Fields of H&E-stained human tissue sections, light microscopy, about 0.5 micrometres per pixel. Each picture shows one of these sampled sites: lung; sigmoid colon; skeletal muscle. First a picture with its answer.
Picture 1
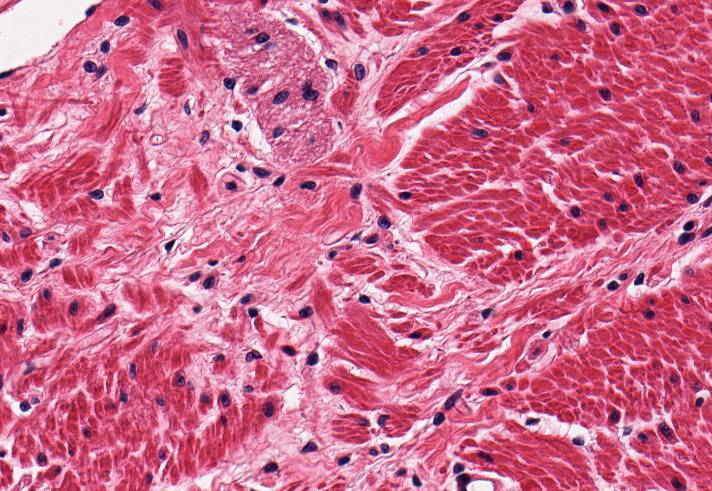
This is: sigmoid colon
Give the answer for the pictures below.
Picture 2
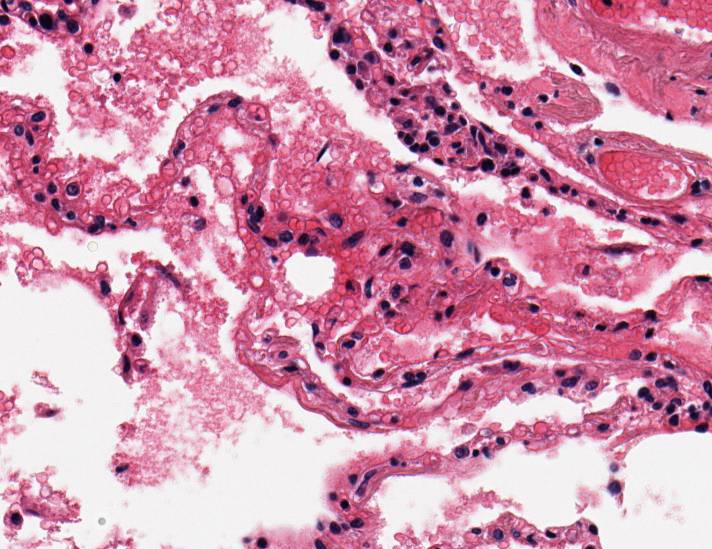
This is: lung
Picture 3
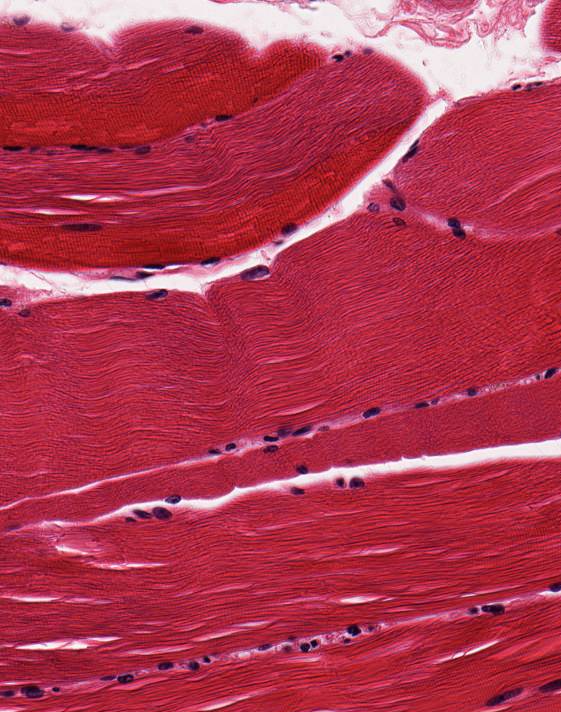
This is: skeletal muscle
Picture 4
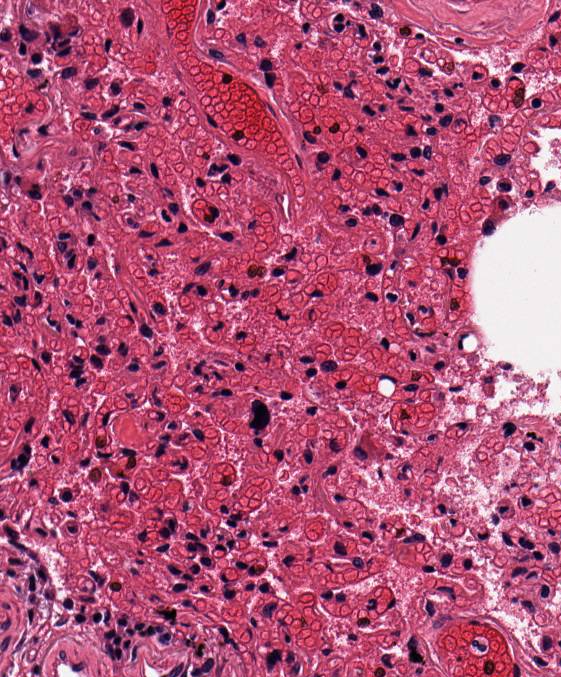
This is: lung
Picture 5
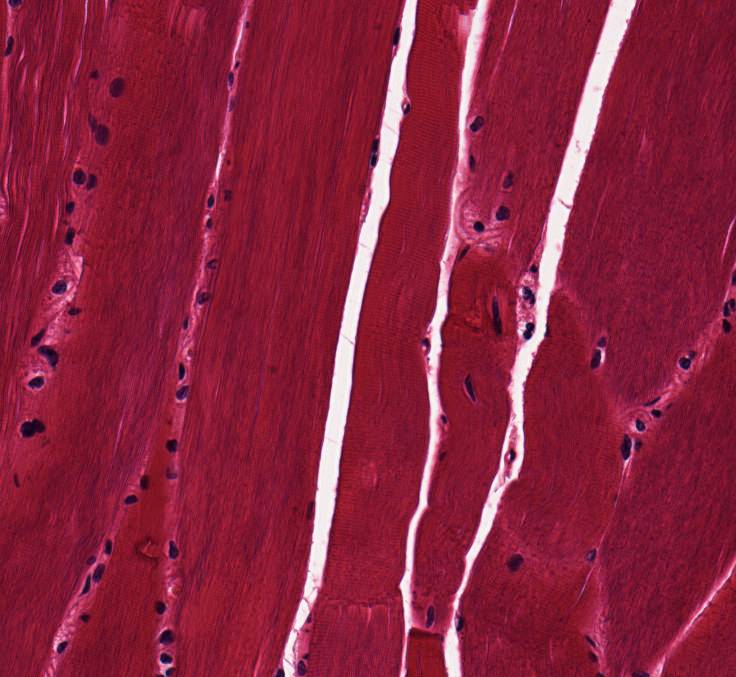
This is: skeletal muscle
